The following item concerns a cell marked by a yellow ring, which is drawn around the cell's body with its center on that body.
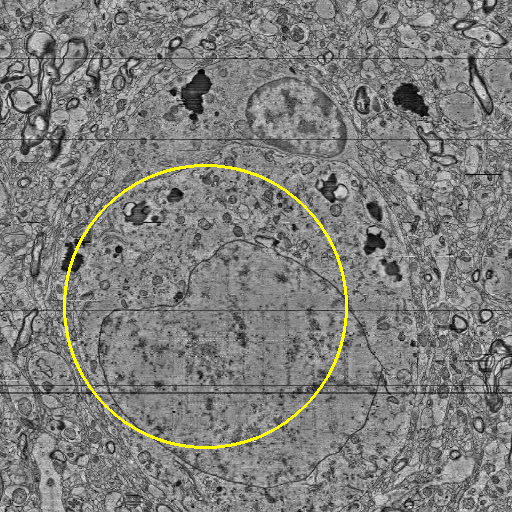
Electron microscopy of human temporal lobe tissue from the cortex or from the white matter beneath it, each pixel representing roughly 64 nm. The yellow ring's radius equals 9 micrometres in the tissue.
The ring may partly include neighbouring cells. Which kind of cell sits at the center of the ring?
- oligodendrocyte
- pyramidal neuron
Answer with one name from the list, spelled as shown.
pyramidal neuron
